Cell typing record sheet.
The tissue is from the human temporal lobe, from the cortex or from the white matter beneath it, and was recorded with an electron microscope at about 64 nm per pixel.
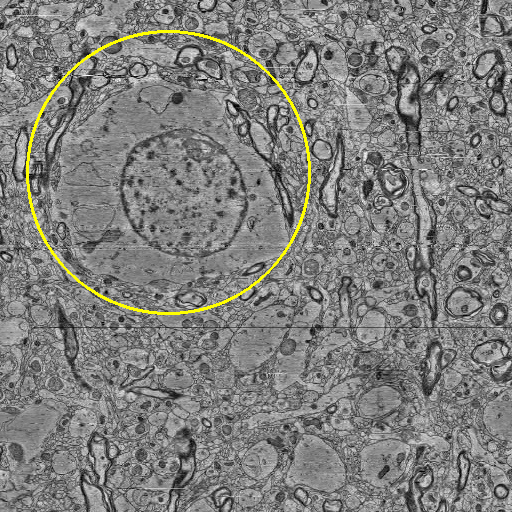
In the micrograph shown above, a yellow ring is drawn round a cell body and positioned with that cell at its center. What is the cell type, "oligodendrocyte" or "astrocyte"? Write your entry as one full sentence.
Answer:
The cell body at the center of the ring belongs to an astrocyte.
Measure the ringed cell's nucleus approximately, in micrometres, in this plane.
Approximately 8 micrometres across, in this plane.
